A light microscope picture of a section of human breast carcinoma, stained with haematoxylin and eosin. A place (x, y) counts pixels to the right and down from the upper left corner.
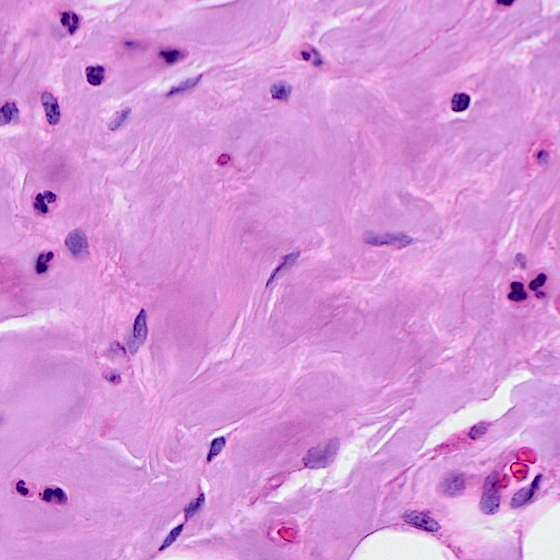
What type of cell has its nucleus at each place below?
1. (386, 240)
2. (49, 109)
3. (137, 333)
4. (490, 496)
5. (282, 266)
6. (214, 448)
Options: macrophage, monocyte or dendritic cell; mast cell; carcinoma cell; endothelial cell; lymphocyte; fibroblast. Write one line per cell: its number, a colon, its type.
1: fibroblast
2: mast cell
3: fibroblast
4: endothelial cell
5: fibroblast
6: fibroblast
